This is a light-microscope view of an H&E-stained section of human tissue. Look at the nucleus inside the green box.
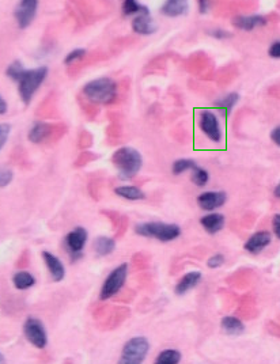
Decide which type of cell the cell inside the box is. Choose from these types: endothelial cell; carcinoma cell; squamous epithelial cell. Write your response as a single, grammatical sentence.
Considered by cell type, the cell inside the box is an endothelial cell.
